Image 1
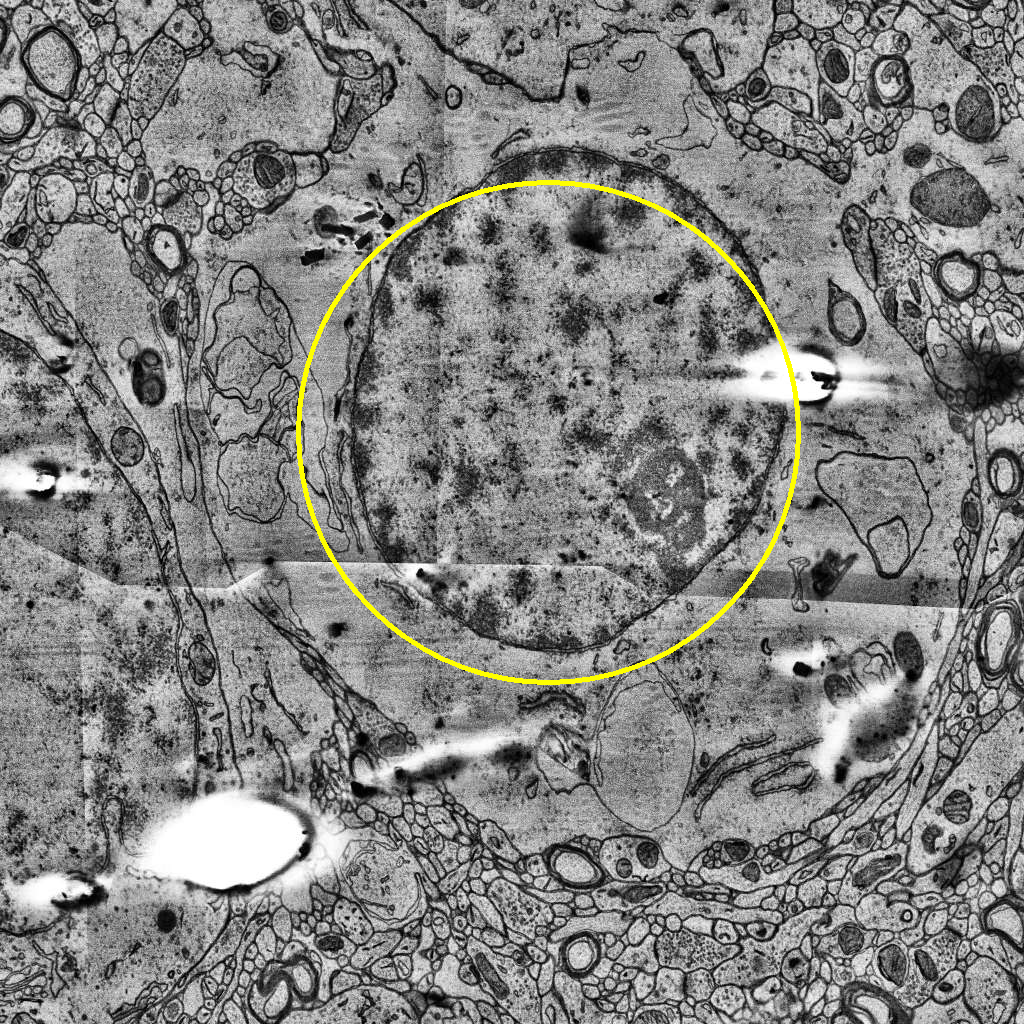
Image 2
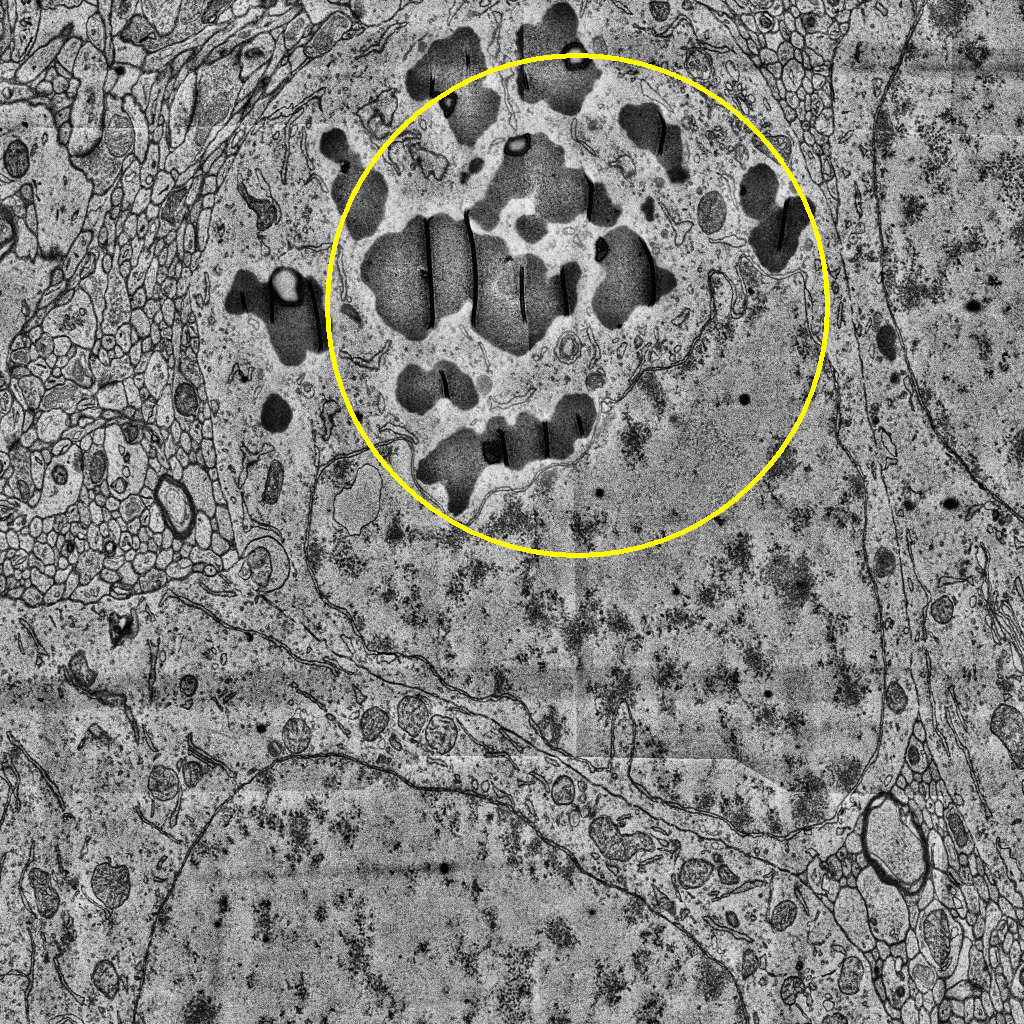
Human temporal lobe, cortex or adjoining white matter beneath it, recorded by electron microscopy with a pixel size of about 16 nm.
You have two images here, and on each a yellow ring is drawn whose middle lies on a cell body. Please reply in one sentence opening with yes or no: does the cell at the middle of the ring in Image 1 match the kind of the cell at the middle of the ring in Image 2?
No, the two images show cells of two kinds at the centres of their rings.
